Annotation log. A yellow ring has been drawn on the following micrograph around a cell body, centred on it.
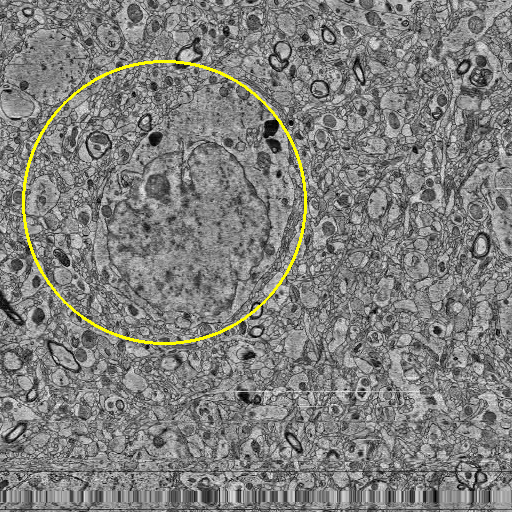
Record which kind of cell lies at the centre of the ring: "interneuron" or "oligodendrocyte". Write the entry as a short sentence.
The cell the ring is centred on is an interneuron.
